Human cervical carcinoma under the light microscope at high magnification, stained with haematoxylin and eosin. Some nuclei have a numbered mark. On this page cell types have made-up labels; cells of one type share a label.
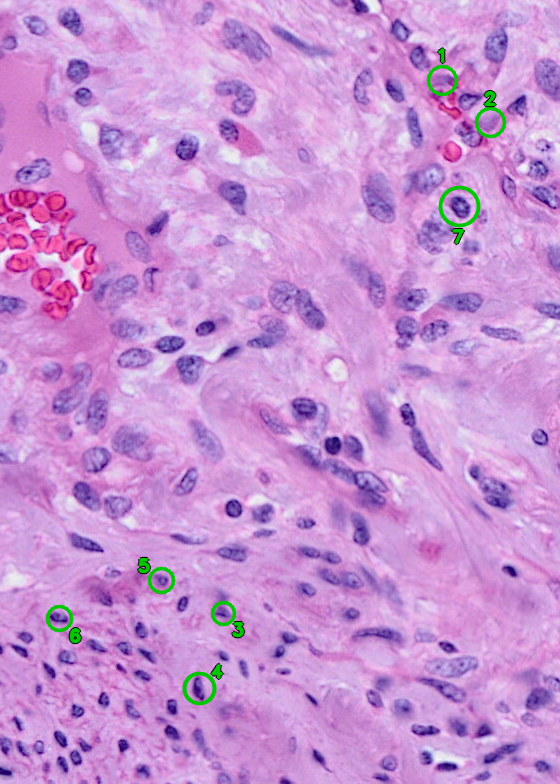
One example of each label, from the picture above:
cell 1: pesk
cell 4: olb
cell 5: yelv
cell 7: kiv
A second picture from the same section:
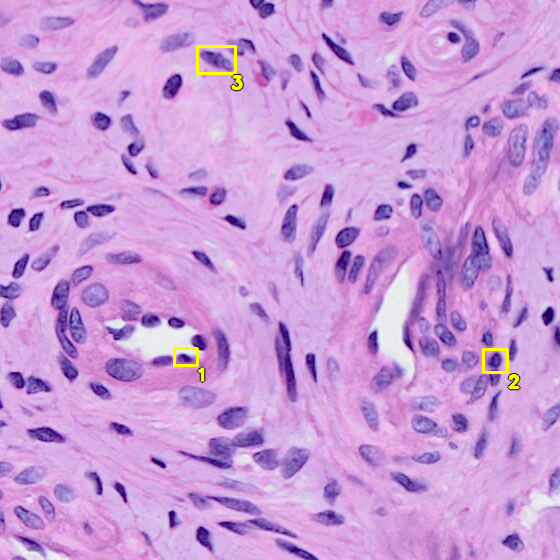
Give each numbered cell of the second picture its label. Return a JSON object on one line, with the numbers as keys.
{"1": "pesk", "2": "yelv", "3": "olb"}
